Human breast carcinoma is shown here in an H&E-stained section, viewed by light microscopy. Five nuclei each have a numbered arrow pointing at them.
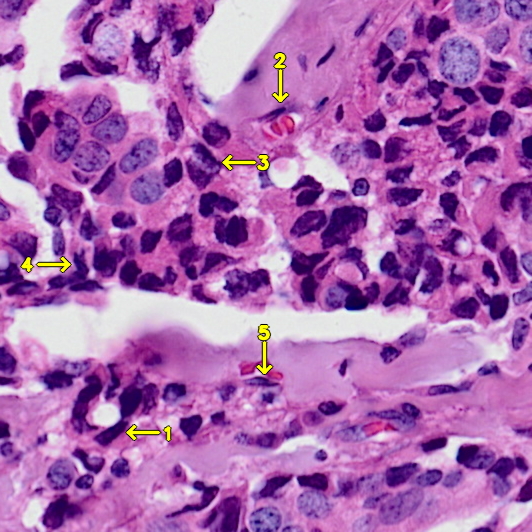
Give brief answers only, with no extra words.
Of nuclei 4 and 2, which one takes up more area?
4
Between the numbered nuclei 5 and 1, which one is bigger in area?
1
